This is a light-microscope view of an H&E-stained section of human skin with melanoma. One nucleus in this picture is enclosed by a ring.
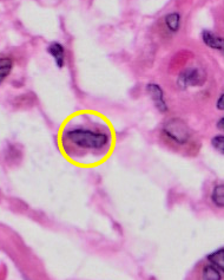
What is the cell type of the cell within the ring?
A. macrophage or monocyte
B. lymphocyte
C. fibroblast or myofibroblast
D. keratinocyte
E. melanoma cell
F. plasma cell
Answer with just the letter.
A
